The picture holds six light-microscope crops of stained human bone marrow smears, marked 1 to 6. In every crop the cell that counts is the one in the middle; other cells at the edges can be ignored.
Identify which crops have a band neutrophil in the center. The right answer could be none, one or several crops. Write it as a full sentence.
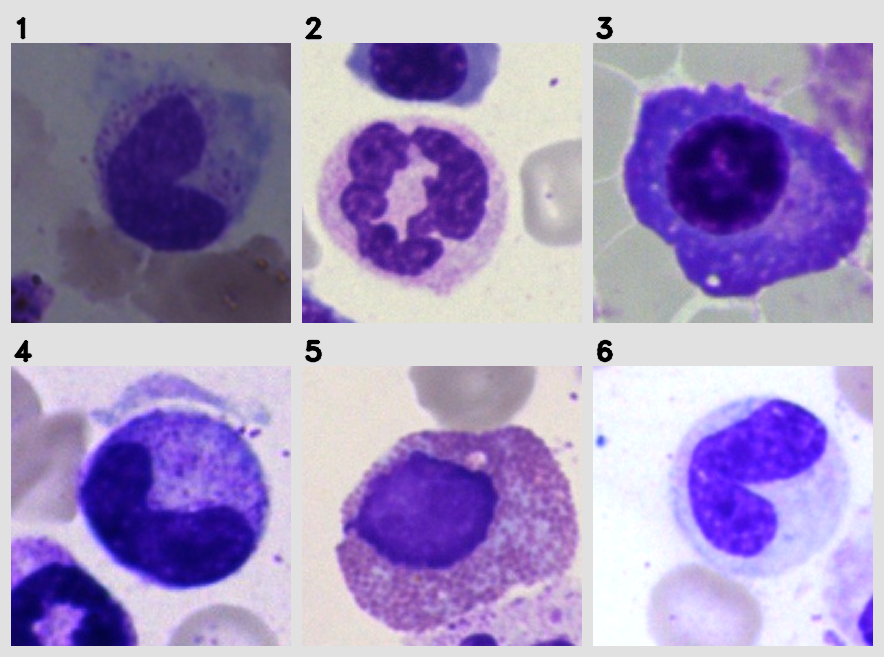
In crops 1, 4 and 6, the centrally located cells represent band neutrophils.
